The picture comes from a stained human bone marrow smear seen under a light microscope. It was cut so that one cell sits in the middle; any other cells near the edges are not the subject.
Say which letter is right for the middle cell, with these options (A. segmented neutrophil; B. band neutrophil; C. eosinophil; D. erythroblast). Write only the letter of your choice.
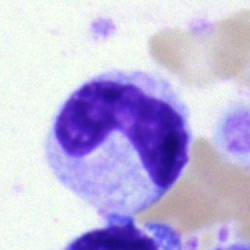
B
